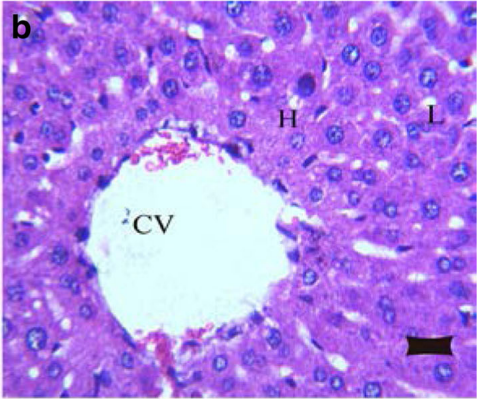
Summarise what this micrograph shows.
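Liver tissue with hepatocytes arranged in radiating cords around a large empty central vein containing a few red blood cells. The hepatocytes are polygonal with pink granular cytoplasm and round, centrally placed pale nuclei with distinct nucleoli, some cells holding two nuclei. Narrow sinusoids lined by flattened dark nuclei separate the cords.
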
